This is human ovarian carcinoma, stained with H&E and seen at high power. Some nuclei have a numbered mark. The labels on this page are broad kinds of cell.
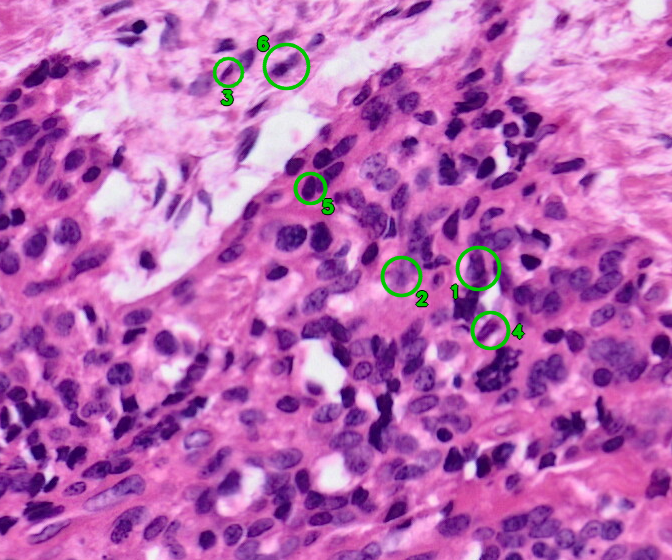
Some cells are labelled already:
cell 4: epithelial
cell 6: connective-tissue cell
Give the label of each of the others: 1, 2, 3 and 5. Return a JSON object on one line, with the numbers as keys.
{"1": "epithelial", "2": "epithelial", "3": "connective-tissue cell", "5": "epithelial"}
